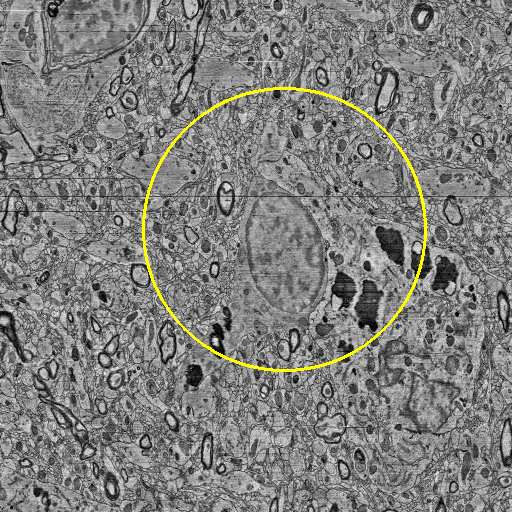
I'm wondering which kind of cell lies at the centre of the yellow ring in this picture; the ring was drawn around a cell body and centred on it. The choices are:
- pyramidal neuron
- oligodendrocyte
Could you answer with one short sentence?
At the centre of the ring lies an oligodendrocyte.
